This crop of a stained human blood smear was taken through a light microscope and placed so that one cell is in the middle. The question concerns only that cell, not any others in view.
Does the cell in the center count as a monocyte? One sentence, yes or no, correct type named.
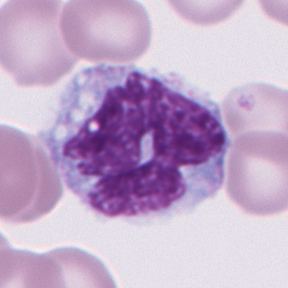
Yes, what sits in the middle of the crop is a monocyte.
